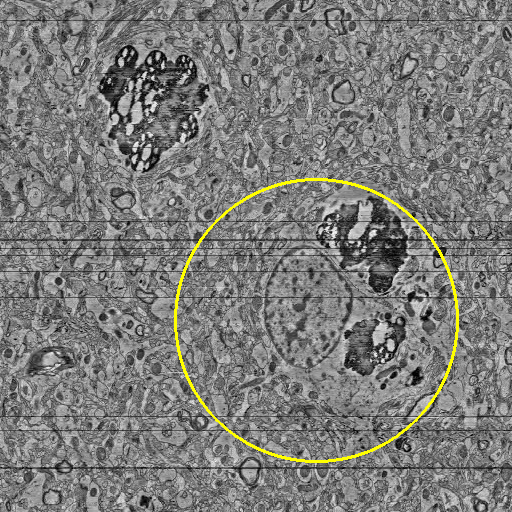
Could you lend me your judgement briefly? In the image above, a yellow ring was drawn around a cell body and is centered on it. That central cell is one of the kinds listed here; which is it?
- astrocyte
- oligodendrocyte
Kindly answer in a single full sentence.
Going by the list, an astrocyte is the kind at the ring's center in the picture.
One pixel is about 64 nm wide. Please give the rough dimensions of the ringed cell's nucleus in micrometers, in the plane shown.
In this plane, the nucleus is roughly 8 by 6 micrometres.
